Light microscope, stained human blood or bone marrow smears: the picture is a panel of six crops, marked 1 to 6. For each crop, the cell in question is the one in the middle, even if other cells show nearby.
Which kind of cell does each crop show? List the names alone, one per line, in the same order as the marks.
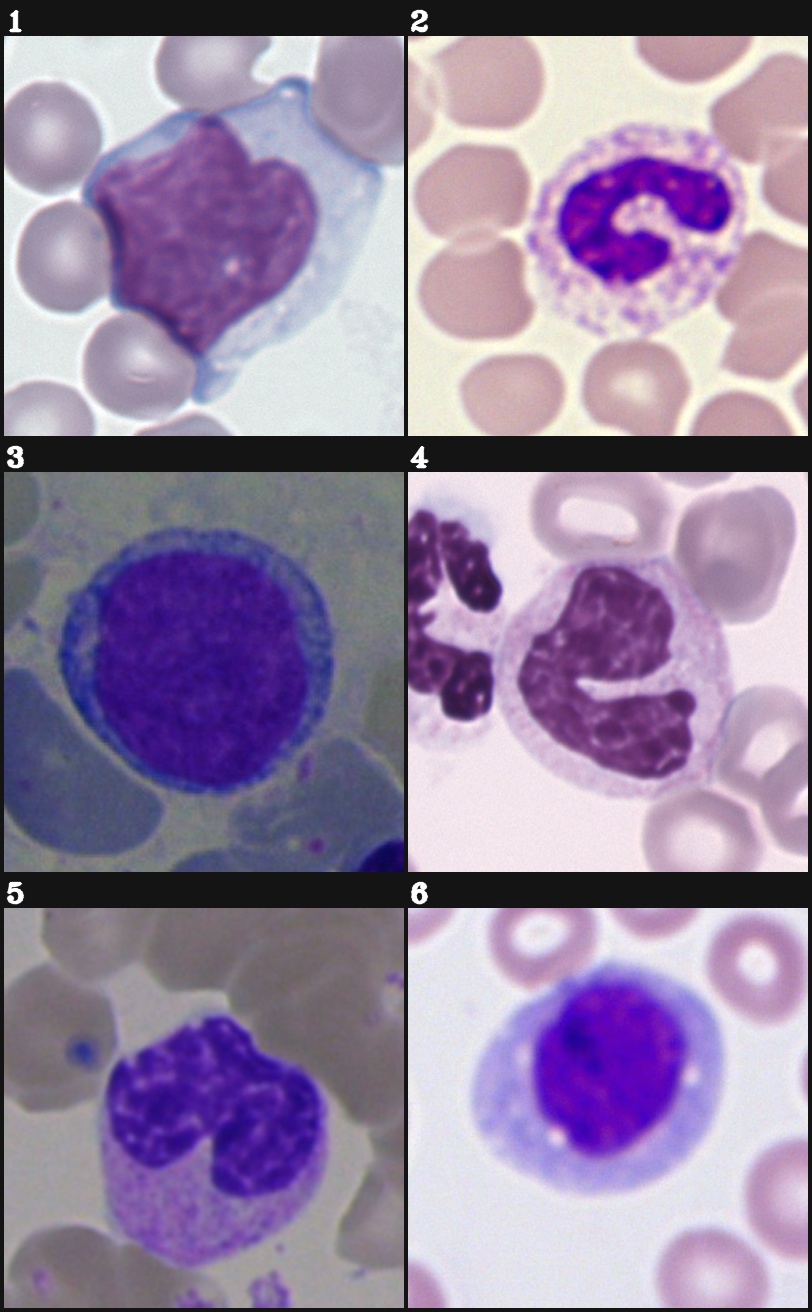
blast
band neutrophil
blast
band neutrophil
band neutrophil
monocyte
